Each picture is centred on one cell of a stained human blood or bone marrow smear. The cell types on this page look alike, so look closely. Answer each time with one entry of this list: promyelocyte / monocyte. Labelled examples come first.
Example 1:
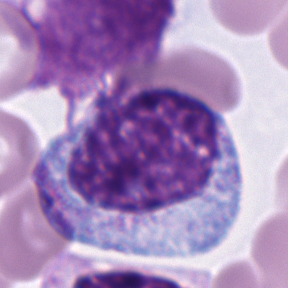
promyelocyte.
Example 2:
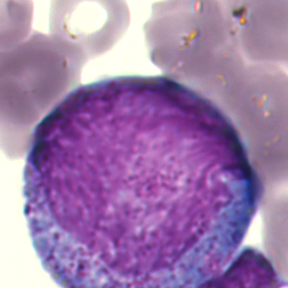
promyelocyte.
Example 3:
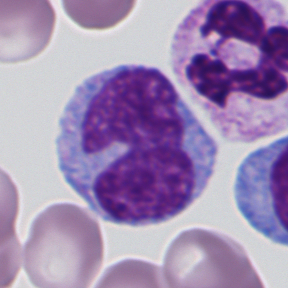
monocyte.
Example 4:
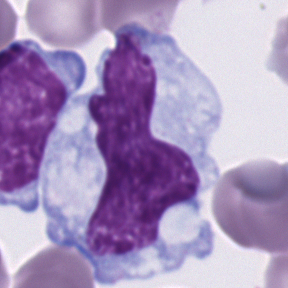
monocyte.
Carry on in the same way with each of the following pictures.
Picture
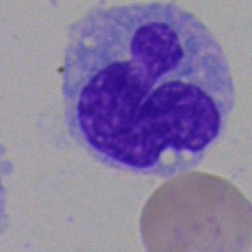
monocyte.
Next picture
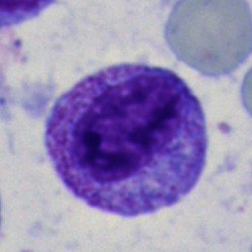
promyelocyte.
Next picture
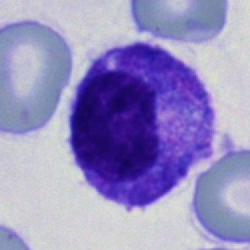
promyelocyte.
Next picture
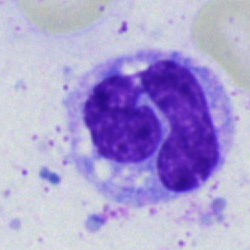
monocyte.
